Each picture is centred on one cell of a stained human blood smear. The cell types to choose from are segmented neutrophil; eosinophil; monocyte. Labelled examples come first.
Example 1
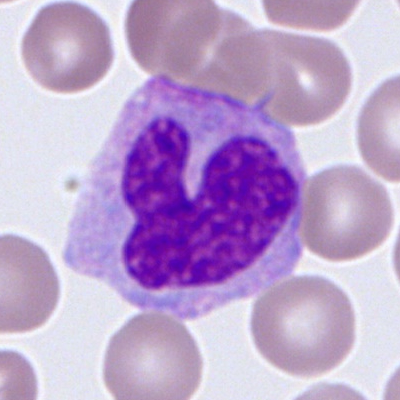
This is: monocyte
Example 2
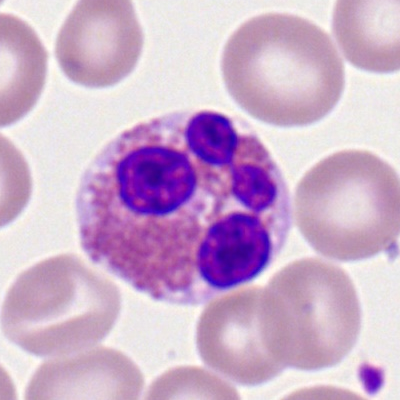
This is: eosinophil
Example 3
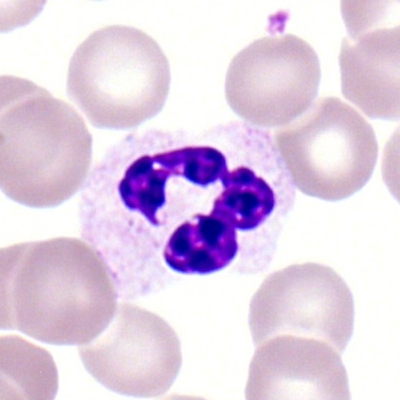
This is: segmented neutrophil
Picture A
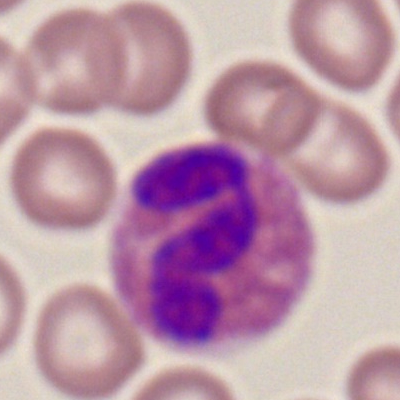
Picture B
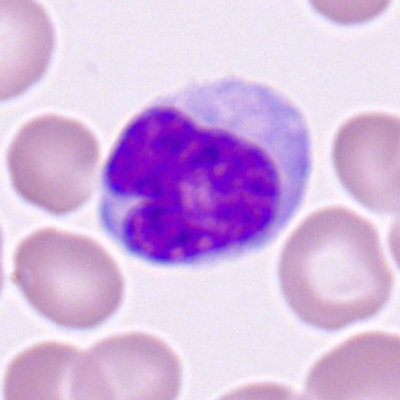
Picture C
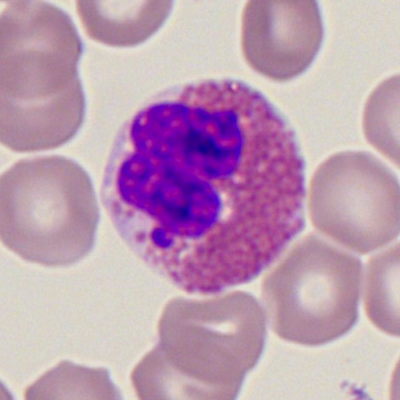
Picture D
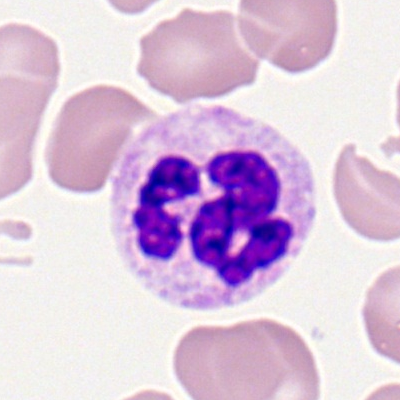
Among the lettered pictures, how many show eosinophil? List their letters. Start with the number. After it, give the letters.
2: A, C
